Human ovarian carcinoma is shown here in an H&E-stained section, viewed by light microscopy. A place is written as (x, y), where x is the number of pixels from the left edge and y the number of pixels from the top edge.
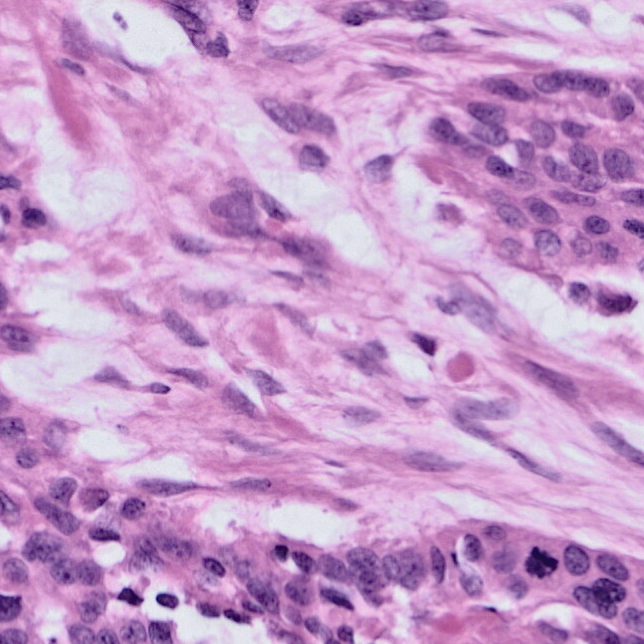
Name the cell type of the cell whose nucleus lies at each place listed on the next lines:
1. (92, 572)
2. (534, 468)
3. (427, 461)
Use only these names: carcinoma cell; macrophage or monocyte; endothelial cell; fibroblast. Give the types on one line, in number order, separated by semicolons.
carcinoma cell; fibroblast; fibroblast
